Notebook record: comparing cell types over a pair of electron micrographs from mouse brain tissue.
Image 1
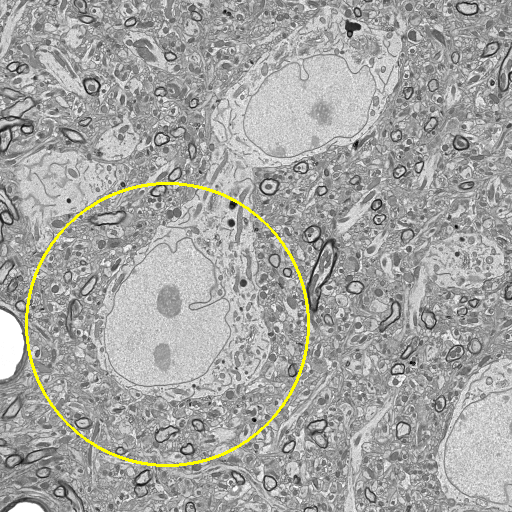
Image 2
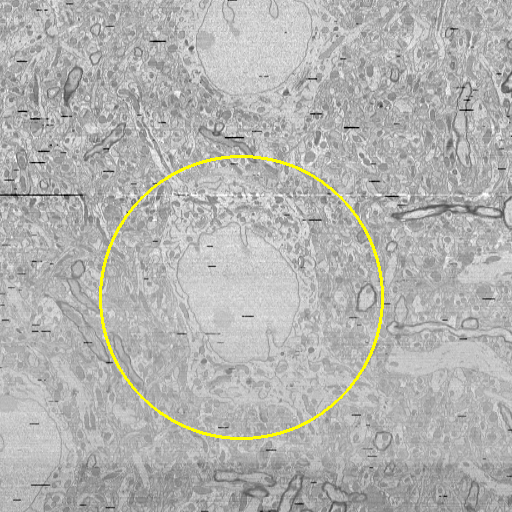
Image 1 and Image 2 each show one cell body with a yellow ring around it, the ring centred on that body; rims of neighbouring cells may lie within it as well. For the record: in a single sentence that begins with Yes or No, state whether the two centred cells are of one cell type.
No, two cell types are found among the centred cells of Image 1 and Image 2.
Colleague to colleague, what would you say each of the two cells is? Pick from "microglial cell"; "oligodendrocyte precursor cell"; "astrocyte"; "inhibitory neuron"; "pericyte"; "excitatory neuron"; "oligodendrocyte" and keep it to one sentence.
The cell in the first picture is an excitatory neuron; the second picture's cell is an inhibitory neuron.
